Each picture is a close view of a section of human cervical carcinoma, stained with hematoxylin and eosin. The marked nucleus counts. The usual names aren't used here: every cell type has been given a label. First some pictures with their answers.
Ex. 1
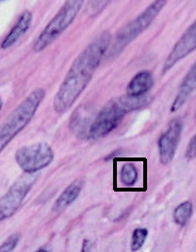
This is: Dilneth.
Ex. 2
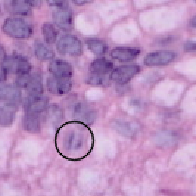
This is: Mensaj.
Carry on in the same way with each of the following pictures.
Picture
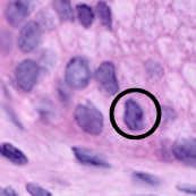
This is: Mensaj.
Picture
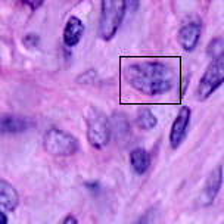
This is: Dilneth.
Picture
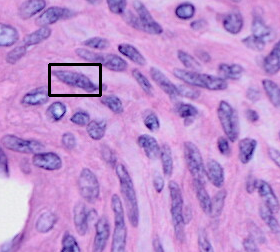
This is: Dilneth.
